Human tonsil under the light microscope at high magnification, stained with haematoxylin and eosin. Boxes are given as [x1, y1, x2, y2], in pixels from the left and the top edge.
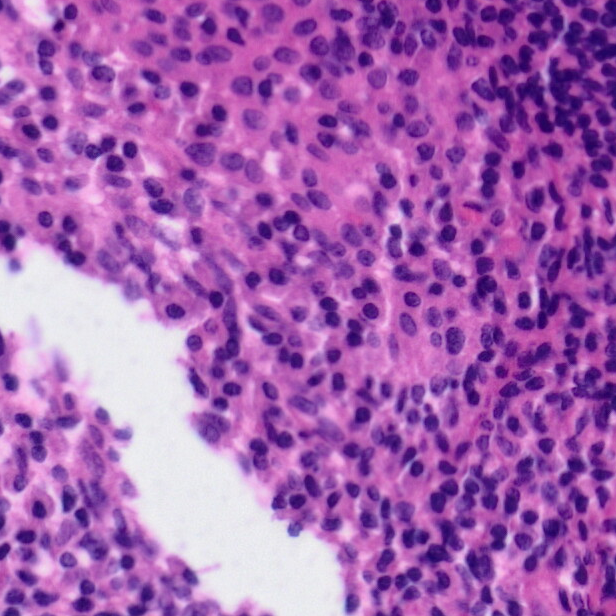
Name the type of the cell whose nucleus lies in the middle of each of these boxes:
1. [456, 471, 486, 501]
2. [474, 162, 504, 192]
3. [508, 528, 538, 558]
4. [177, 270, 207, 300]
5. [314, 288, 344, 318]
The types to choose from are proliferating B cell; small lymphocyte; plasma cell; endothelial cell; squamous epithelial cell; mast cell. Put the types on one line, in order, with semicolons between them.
small lymphocyte; plasma cell; plasma cell; squamous epithelial cell; plasma cell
